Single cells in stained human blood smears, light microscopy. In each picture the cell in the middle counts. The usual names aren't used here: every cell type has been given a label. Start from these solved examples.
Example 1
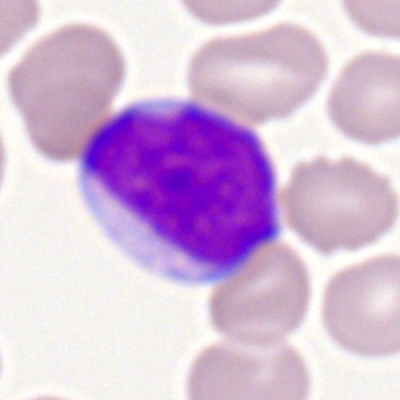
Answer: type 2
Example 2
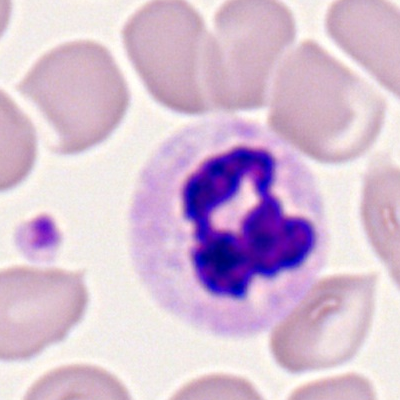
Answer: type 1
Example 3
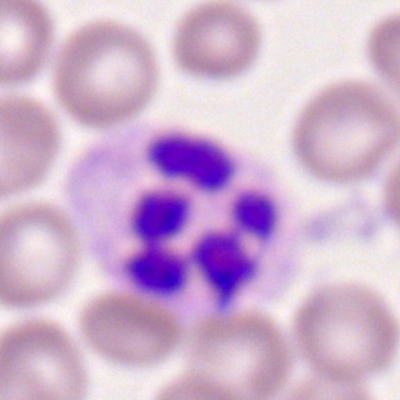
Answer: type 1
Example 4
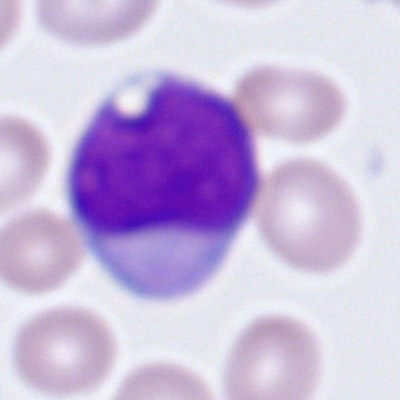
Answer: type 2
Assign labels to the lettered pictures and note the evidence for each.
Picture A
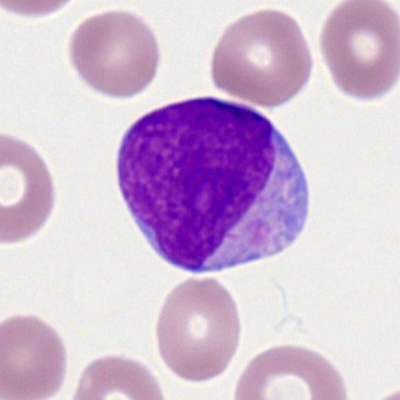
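type 2. Evidence: The nucleus is a single unlobed mass.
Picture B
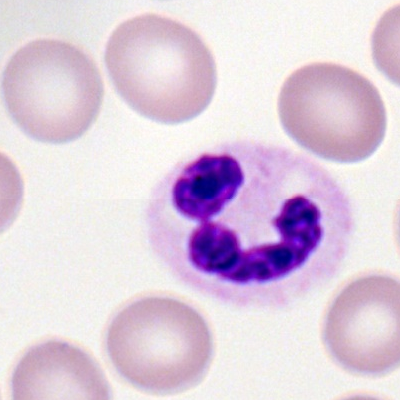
type 1. Evidence: The nucleus is divided into several lobes joined in a curved chain.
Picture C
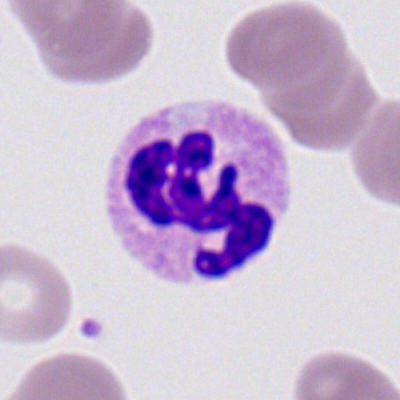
type 1. Evidence: The cytoplasm is plentiful and pale pinkish-lilac.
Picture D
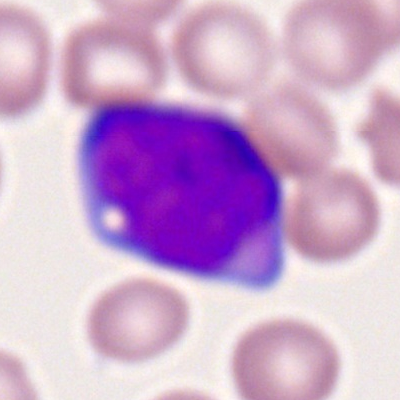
type 2. Evidence: The cytoplasm is a deep blue.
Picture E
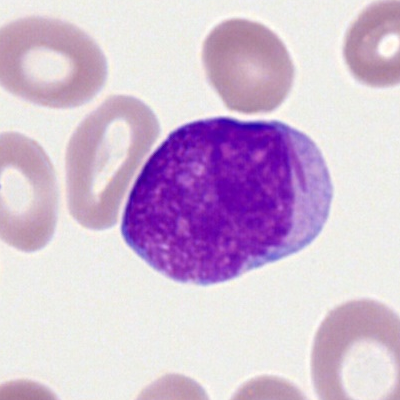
type 2. Evidence: The nucleus fills most of the cell, leaving little cytoplasm.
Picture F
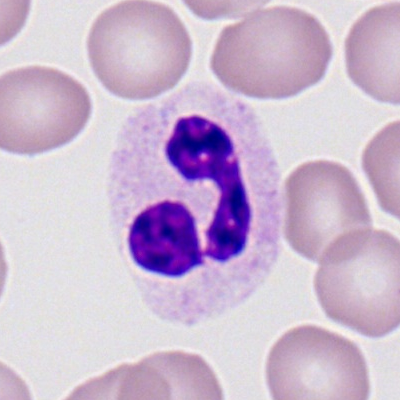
type 1. Evidence: The cytoplasm is plentiful and pale pink-lilac.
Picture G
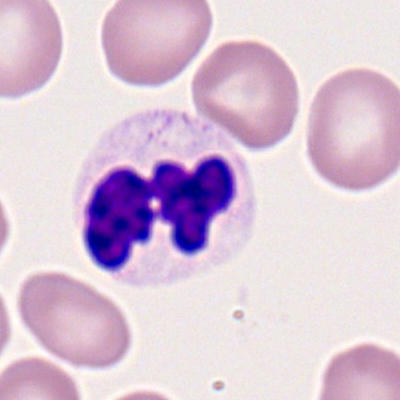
type 1. Evidence: The nucleus is split into two main lobes lying side by side, left and right.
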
